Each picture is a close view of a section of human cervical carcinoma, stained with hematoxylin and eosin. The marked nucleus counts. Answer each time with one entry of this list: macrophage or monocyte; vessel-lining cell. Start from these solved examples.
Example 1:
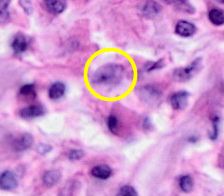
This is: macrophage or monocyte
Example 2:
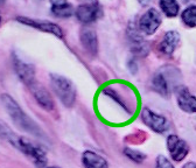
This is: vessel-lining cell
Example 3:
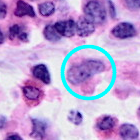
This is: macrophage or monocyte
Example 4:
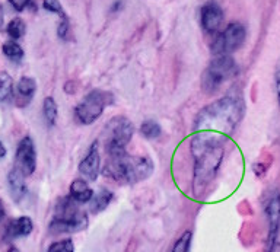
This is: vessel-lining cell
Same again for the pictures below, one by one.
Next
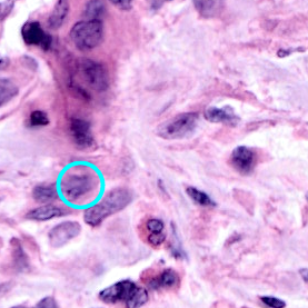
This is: vessel-lining cell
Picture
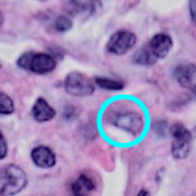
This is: vessel-lining cell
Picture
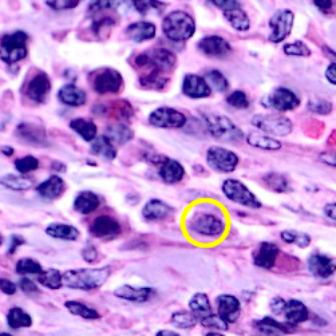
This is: macrophage or monocyte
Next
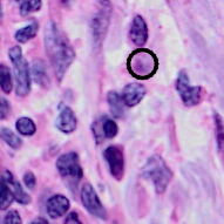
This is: macrophage or monocyte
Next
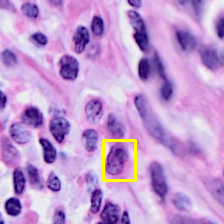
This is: macrophage or monocyte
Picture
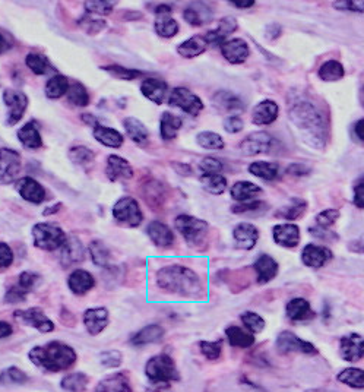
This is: macrophage or monocyte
